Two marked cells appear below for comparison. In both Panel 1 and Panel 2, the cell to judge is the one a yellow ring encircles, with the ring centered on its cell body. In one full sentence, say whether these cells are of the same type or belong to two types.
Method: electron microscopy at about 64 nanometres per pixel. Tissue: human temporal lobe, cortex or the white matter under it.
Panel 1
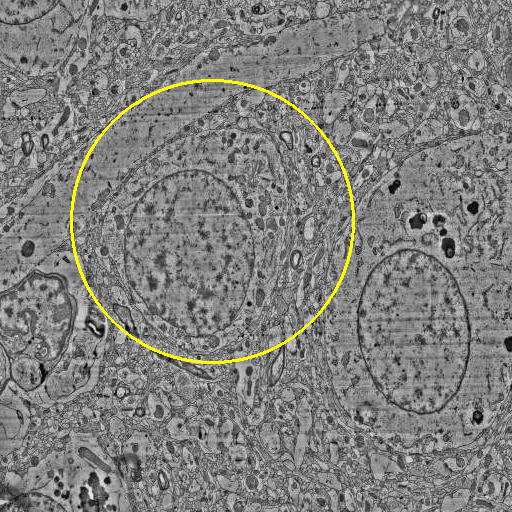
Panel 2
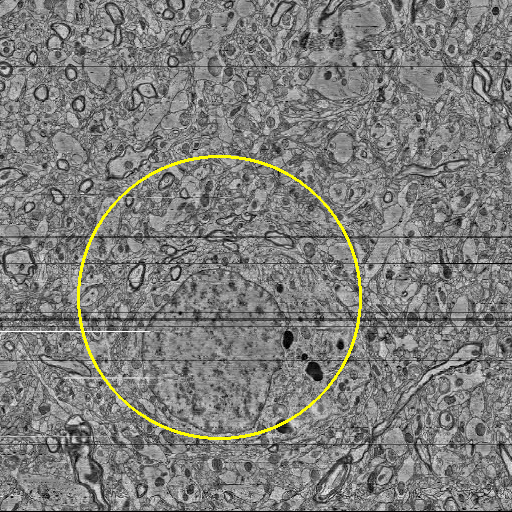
The cell centered in the Panel 1 ring and the one in Panel 2 are of the same type.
